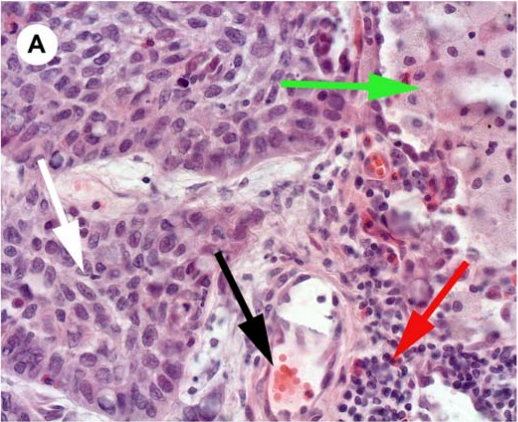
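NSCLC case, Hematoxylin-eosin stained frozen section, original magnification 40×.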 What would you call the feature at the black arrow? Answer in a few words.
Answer: Blood vessel.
